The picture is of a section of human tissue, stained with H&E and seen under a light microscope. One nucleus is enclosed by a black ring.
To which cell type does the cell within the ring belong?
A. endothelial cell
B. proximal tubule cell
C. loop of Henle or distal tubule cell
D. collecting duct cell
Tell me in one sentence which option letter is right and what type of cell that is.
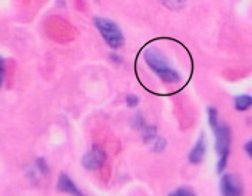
Option A wins here: the cell within the ring is an endothelial cell.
